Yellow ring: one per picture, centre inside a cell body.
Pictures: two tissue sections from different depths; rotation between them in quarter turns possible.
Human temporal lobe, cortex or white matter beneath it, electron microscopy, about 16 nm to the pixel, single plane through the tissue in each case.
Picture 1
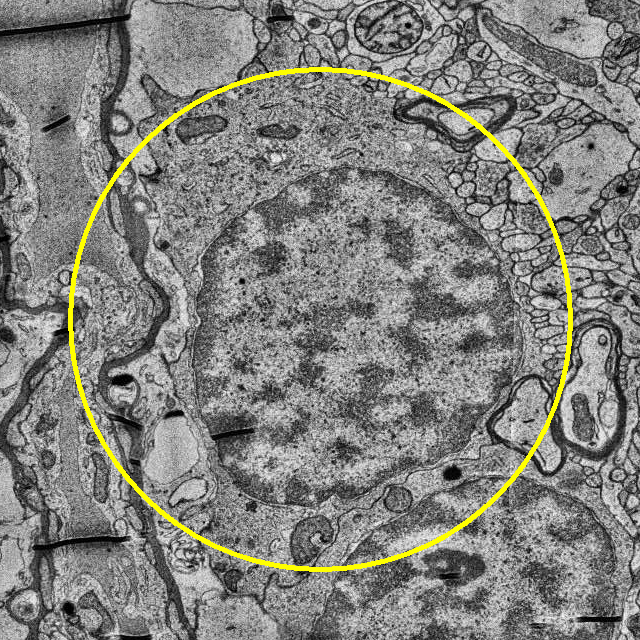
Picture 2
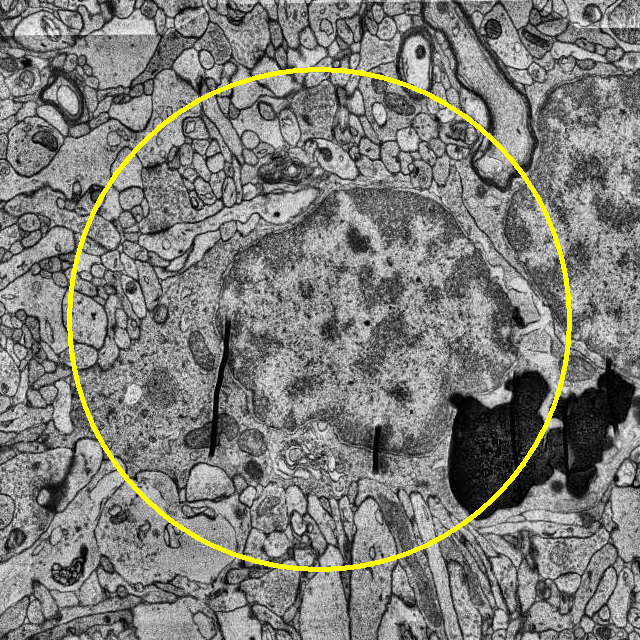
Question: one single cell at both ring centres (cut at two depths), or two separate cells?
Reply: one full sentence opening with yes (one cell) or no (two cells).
Yes, the two rings belong to one cell, not to two.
